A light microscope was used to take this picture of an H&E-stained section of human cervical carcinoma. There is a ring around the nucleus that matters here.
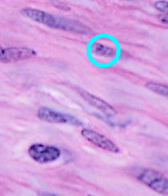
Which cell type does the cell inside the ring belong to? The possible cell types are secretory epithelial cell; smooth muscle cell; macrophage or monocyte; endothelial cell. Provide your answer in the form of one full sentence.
In the stained section, the cell inside the ring is a smooth muscle cell.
